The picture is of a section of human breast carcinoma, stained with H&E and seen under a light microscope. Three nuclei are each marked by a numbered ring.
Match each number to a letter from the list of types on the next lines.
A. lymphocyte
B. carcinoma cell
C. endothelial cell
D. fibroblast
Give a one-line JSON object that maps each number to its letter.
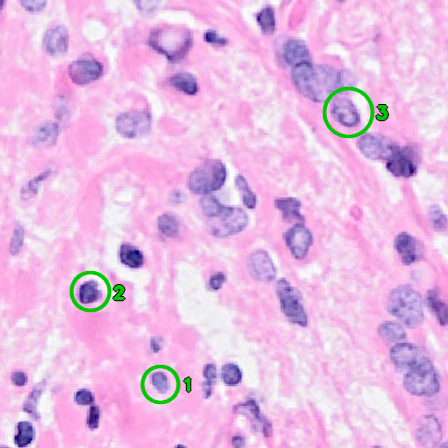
{"1": "A", "2": "A", "3": "B"}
